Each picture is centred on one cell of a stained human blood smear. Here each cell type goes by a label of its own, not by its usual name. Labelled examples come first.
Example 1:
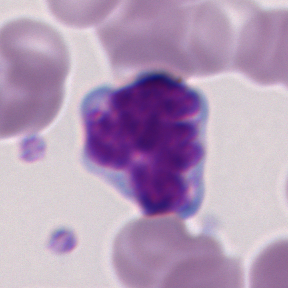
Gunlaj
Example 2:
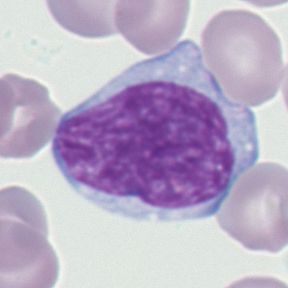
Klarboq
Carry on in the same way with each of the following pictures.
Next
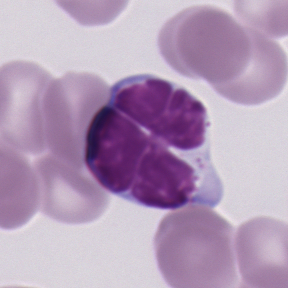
Gunlaj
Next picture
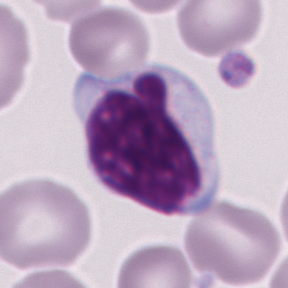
Gunlaj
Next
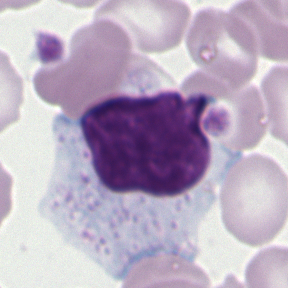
Gunlaj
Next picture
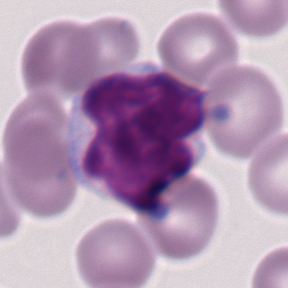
Gunlaj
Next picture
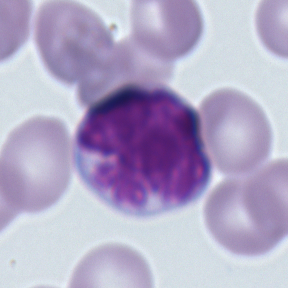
Gunlaj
